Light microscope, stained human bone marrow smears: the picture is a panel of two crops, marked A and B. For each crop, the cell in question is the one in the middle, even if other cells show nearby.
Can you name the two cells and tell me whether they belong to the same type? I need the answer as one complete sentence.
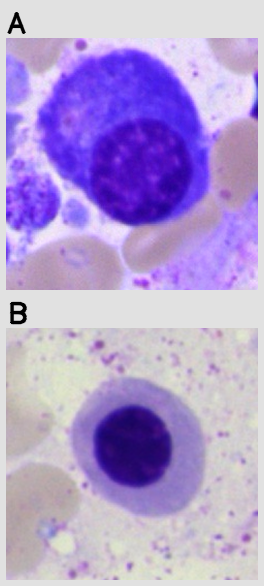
No, crop B centres on a normoblast, and crop A centres on a plasma cell.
